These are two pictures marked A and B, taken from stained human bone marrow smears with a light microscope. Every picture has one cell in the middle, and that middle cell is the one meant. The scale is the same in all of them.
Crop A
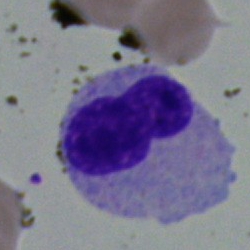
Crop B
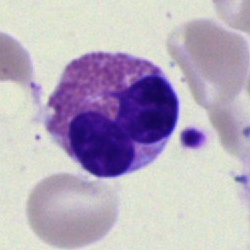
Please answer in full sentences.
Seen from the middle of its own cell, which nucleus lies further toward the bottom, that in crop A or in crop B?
In crop B the nucleus is shifted more toward the bottom.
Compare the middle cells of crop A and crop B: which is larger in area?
Larger is the cell in crop A, at roughly 1.5 times the area of the other.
